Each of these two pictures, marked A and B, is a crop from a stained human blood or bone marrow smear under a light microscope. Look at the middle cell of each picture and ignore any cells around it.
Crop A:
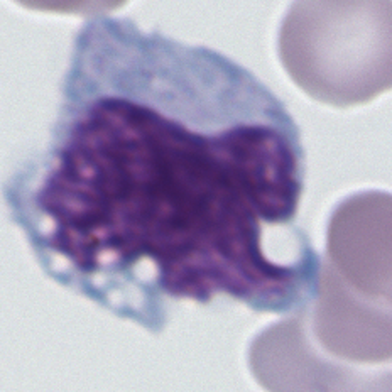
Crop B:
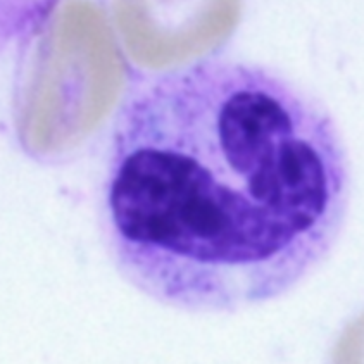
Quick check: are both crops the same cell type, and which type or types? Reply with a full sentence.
No, crop A holds a monocyte, and a band neutrophil occupies crop B.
